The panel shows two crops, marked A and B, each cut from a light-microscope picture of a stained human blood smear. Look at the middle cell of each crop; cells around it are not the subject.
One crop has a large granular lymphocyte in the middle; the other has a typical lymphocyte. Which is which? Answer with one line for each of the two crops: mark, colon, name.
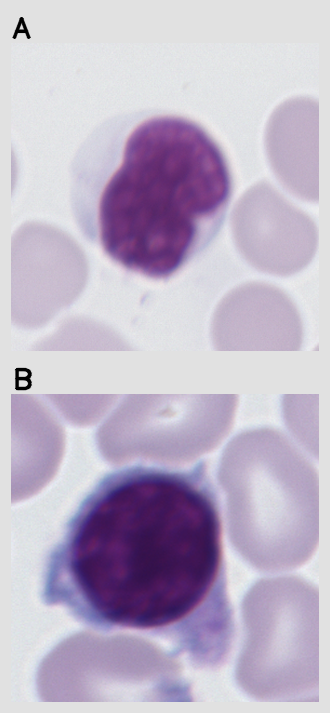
A: large granular lymphocyte
B: typical lymphocyte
